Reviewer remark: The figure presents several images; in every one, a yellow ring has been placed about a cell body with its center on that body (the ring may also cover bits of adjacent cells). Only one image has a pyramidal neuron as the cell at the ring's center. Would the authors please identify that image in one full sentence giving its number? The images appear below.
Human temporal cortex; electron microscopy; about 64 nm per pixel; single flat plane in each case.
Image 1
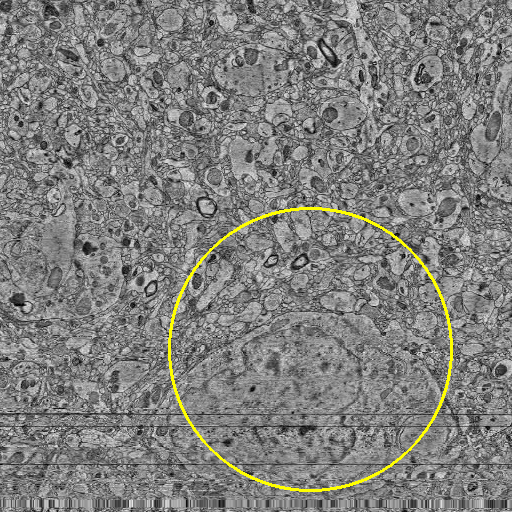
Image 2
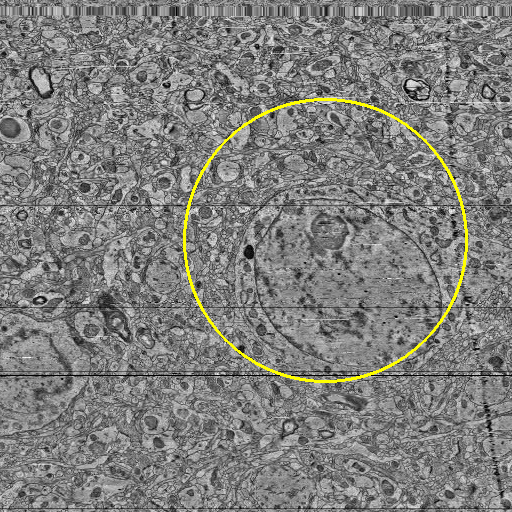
The ring's central cell in image 2 is the one the question describes.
